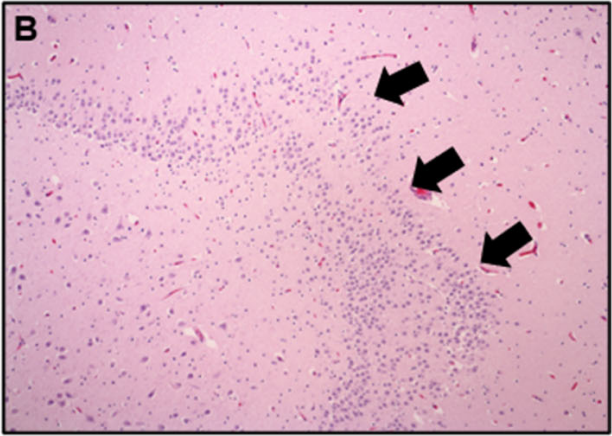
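This is the dentate gyrus of the hippocampus, with its granule cells appearing as small round dark purple nuclei set in pink neuropil. Instead of a single crisp, compact layer, the granule cells are dispersed: the band is broad and its edges are ragged, with nuclei scattered out into the surrounding tissue. Toward the top the layer seems to split, a separate upper row of granule cells lying above the main band with a paler strip between them, an appearance of a doubled layer. Small capillaries with red cells run through the field, and scattered glial nuclei dot the neuropil.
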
